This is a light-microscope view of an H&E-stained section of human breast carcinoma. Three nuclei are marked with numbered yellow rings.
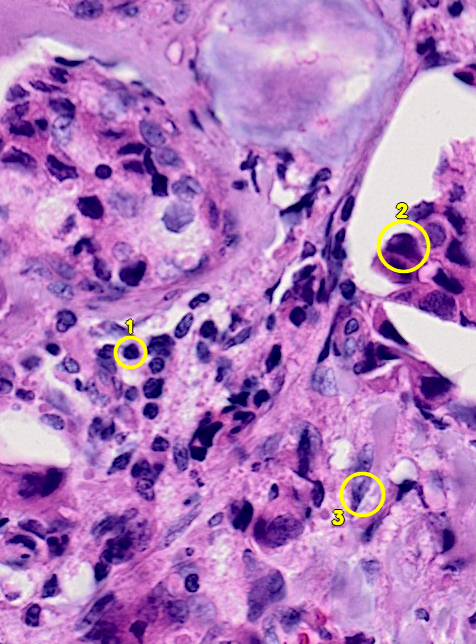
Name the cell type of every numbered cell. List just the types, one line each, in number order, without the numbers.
lymphocyte
carcinoma cell
fibroblast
